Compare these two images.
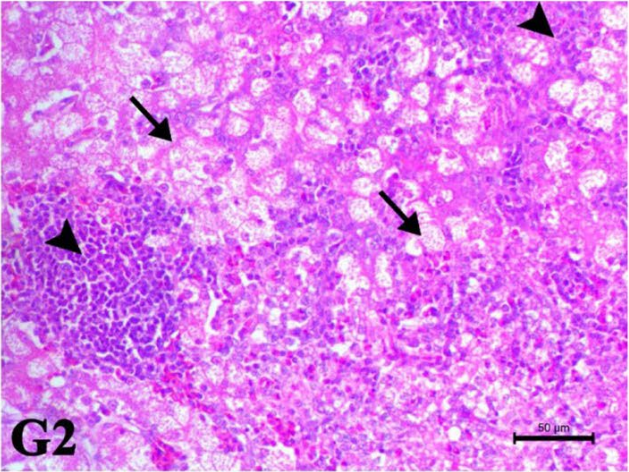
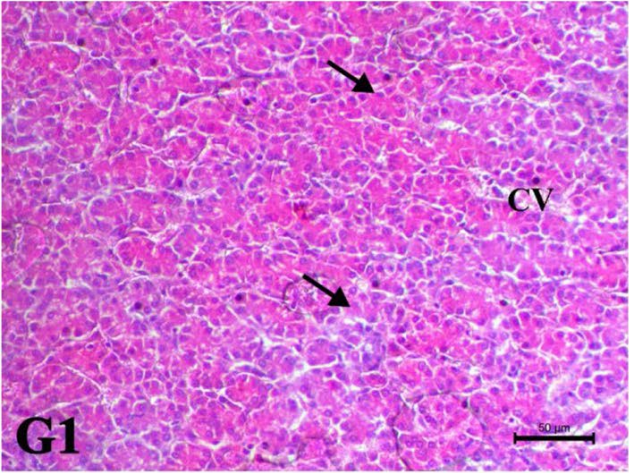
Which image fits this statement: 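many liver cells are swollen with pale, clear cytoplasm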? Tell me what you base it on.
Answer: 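First image: many hepatocytes are enlarged with pale, clear, netted cytoplasm. Second image: hepatocytes have evenly pink cytoplasm. That points to this answer: the first image.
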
